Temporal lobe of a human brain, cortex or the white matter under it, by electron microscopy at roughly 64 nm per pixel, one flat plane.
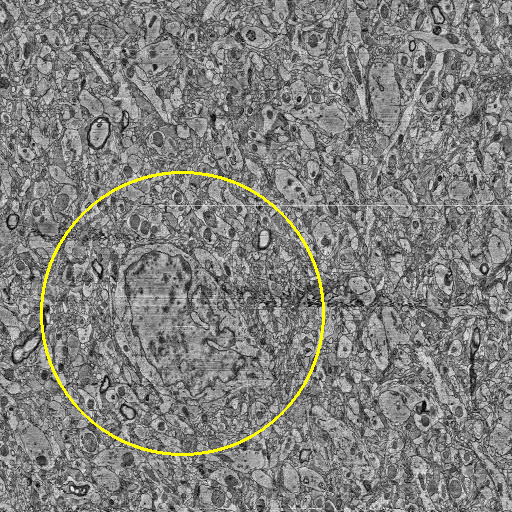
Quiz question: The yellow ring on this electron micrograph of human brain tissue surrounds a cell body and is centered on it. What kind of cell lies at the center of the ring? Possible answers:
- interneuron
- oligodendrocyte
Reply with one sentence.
The ring's center lies on an interneuron.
